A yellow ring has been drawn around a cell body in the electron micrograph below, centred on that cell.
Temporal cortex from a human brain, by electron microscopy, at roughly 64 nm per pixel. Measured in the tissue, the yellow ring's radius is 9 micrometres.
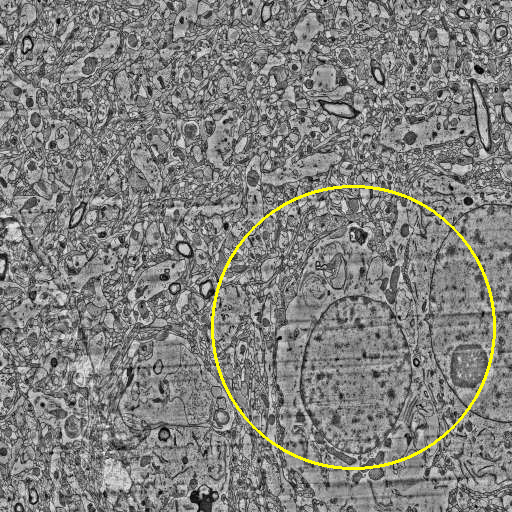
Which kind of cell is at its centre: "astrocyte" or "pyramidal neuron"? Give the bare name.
astrocyte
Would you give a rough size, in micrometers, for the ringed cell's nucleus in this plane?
In this plane the nucleus measures roughly 10 by 7 micrometres.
